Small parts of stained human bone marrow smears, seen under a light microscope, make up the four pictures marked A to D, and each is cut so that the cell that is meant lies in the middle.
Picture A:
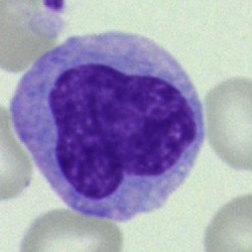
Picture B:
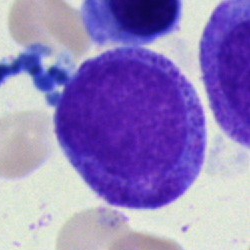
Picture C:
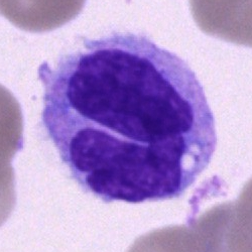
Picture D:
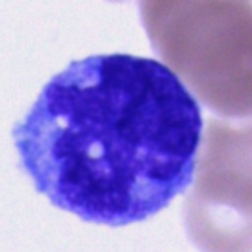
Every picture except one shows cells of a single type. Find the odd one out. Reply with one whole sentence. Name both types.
All pictures except B show monocytes; picture B shows a promyelocyte.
